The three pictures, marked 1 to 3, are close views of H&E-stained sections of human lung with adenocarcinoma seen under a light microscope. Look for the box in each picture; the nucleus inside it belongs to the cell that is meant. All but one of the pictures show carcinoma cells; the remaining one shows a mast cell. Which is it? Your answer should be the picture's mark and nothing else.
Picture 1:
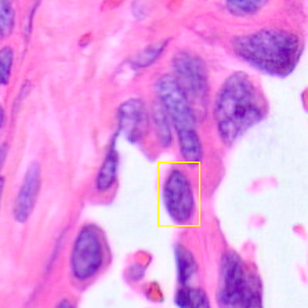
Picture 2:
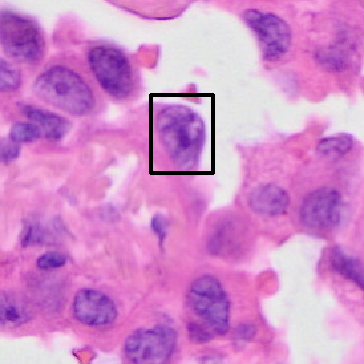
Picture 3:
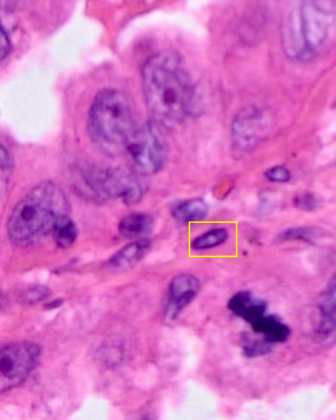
3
